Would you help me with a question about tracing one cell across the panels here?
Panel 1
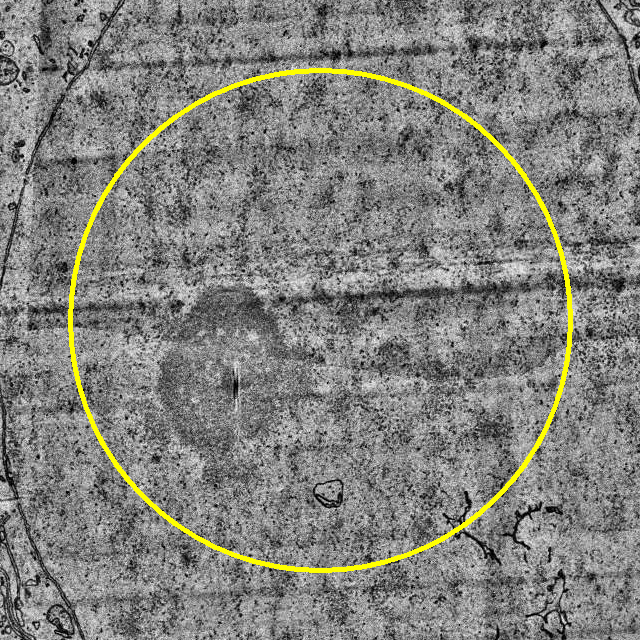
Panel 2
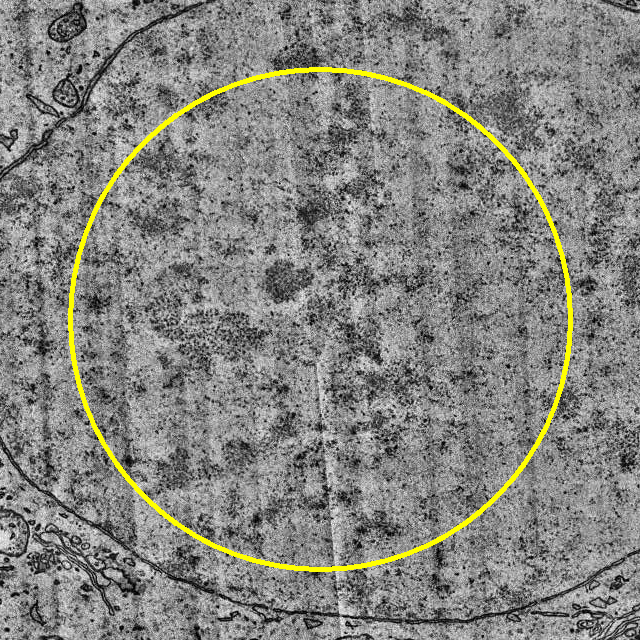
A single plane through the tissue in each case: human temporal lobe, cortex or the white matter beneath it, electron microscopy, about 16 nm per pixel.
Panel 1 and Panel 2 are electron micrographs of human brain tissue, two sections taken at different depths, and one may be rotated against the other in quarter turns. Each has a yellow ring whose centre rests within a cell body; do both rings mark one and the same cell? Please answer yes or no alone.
yes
